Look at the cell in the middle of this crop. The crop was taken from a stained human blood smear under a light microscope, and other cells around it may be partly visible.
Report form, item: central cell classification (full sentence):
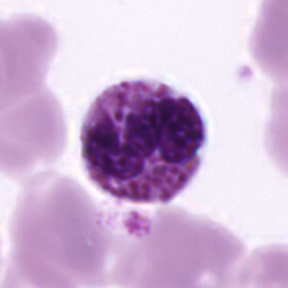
Where the crop is centred, there is an eosinophil.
